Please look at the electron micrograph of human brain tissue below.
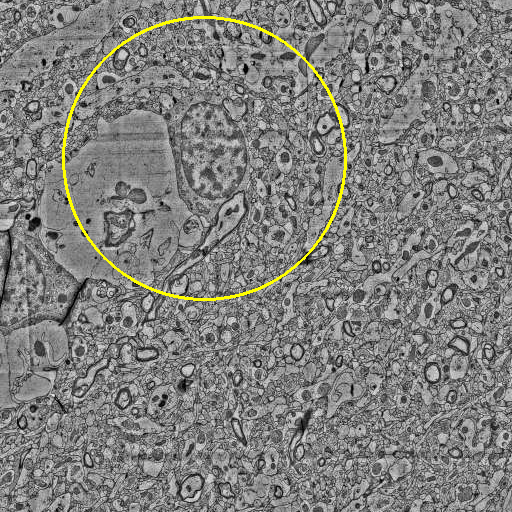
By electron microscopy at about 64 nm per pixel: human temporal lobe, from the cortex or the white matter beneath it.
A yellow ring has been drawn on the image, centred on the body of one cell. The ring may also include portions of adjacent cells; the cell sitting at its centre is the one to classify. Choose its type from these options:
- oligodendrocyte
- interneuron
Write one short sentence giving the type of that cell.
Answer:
The cell in the middle of the ring is an oligodendrocyte.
